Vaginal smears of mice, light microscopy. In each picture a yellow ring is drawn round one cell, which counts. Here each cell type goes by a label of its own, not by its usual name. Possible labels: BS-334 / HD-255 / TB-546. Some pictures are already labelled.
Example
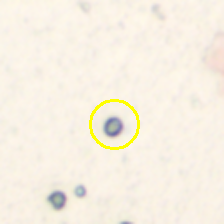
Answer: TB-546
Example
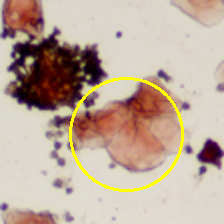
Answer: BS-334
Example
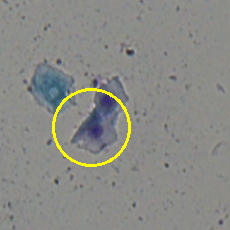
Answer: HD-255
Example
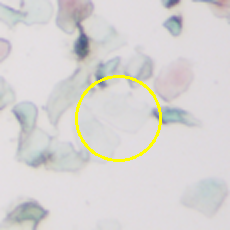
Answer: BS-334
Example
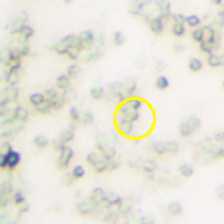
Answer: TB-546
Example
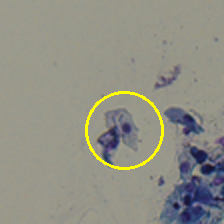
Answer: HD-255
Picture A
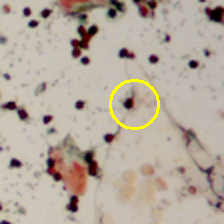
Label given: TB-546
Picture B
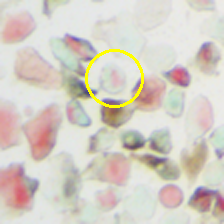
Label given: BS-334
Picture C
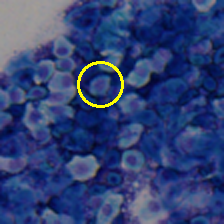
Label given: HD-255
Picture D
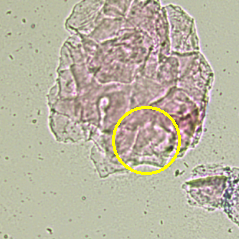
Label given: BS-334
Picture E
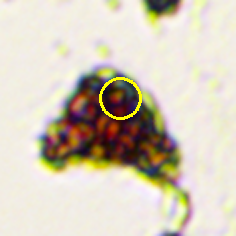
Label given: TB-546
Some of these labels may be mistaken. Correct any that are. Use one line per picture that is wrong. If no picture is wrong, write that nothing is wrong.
Wrong: B (BS-334); correct: HD-255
